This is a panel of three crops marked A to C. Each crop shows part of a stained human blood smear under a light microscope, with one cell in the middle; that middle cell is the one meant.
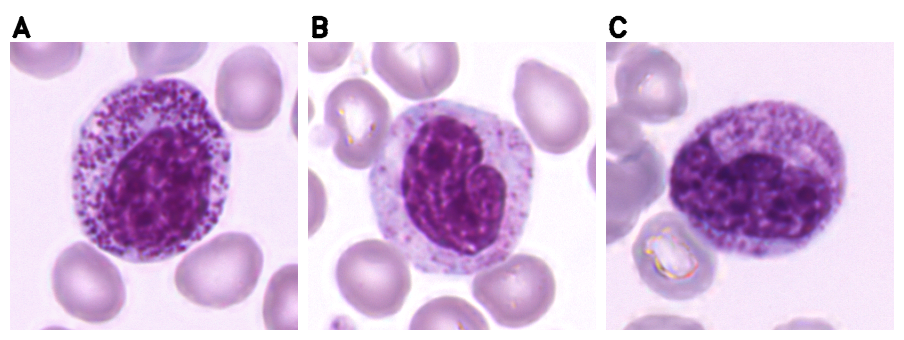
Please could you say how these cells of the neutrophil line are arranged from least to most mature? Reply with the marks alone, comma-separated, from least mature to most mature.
A, C, B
